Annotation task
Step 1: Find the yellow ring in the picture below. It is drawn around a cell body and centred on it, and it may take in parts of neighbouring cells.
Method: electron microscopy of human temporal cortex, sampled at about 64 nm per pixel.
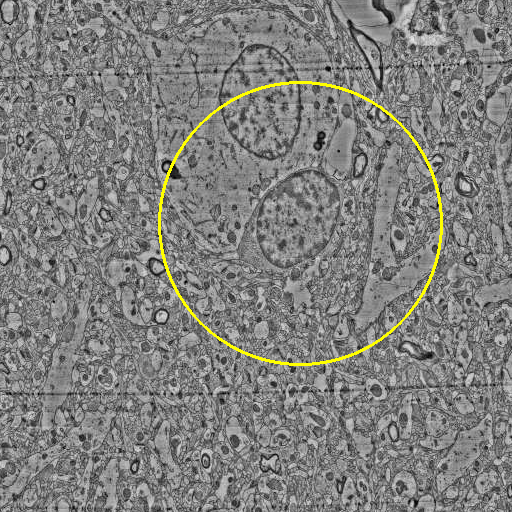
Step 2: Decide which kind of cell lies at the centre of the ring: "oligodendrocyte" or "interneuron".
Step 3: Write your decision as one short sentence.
The kind of cell at the ring's centre is an oligodendrocyte.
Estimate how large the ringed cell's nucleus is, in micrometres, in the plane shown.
About 6 micrometres by about 5 micrometres in this plane.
